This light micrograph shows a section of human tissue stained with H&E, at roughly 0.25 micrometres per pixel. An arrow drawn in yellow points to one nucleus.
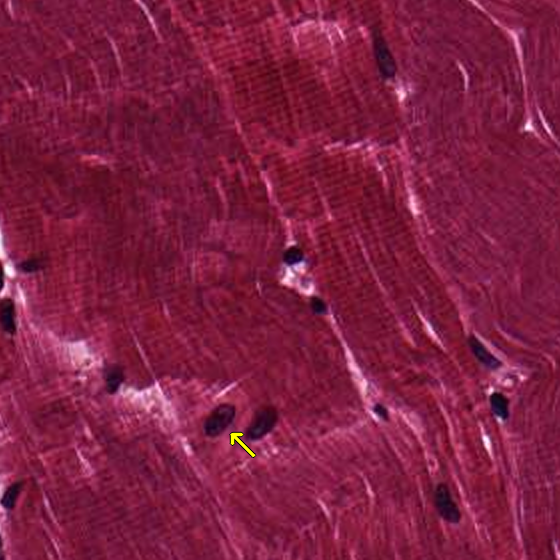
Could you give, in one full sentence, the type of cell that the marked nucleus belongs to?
What the marked nucleus belongs to is a skeletal muscle fibre.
